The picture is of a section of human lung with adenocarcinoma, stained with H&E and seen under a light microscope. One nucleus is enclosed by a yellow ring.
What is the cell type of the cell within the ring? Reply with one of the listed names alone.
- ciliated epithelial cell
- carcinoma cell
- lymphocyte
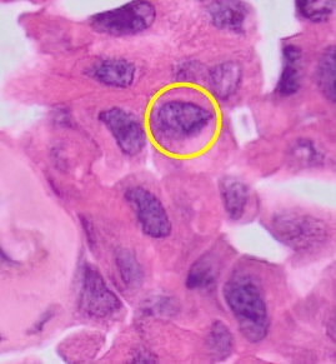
carcinoma cell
